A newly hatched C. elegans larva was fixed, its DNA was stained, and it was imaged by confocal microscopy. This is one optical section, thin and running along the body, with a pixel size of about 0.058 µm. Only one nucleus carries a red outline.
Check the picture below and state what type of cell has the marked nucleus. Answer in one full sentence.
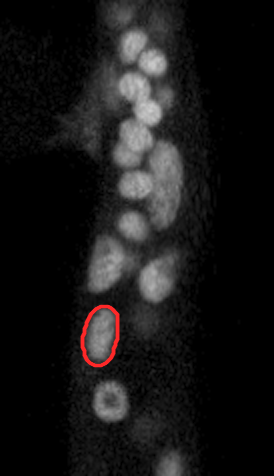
What is marked is the nucleus of an enteric muscle cell.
